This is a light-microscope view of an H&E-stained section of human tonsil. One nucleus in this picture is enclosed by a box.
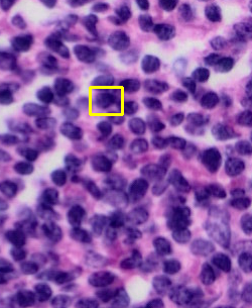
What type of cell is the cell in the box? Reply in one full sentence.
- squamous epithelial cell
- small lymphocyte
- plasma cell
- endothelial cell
In this field of tissue, the cell in the box is a small lymphocyte.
